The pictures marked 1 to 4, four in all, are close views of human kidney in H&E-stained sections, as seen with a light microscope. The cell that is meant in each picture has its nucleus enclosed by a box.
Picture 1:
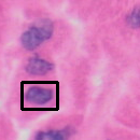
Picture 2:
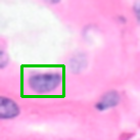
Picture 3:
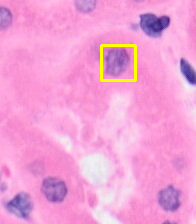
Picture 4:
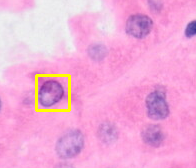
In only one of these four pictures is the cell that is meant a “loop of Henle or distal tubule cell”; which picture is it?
2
